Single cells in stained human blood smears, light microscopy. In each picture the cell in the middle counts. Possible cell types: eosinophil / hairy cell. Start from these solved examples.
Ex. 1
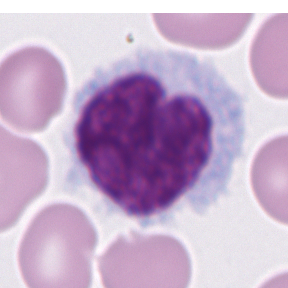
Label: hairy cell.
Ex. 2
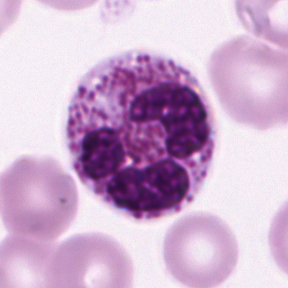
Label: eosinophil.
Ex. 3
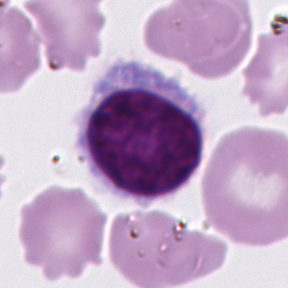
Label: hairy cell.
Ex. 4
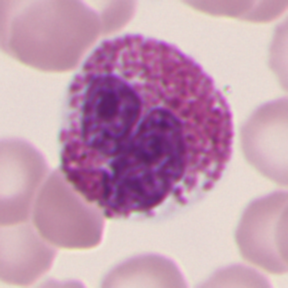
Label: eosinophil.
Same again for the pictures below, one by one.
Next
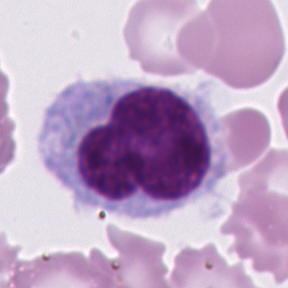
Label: hairy cell.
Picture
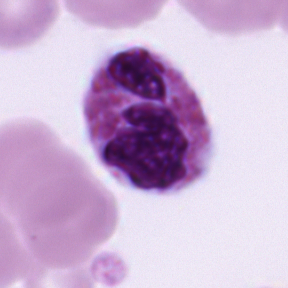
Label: eosinophil.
